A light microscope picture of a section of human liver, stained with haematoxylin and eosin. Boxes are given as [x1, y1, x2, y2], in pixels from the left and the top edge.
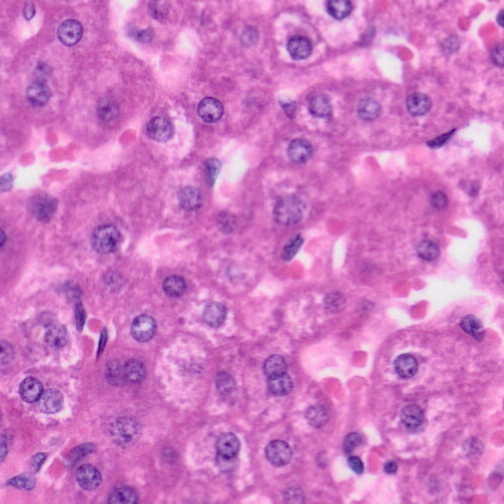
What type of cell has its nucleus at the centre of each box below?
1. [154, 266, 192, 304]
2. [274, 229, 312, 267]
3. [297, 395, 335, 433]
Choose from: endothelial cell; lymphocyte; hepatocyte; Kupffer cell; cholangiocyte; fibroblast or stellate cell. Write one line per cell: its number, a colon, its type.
1: hepatocyte
2: endothelial cell
3: hepatocyte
